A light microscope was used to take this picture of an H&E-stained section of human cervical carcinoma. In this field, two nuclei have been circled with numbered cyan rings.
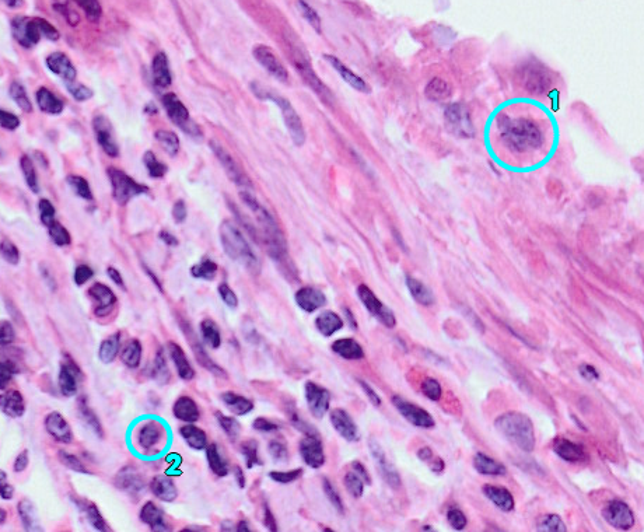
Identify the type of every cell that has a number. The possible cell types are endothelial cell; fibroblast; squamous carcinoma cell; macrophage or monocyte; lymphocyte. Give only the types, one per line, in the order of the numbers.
macrophage or monocyte
lymphocyte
